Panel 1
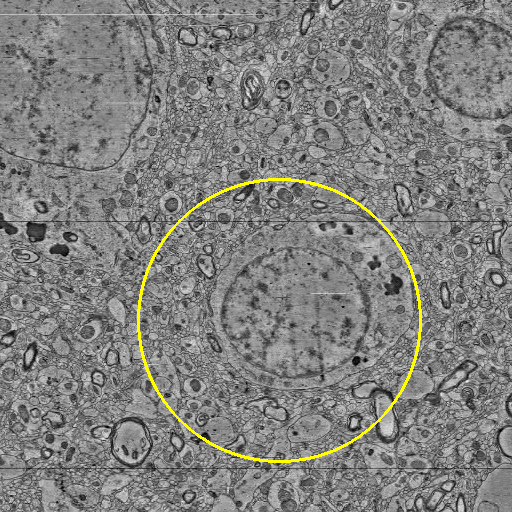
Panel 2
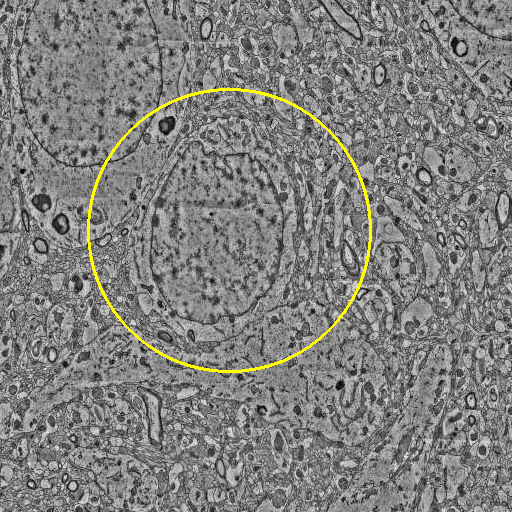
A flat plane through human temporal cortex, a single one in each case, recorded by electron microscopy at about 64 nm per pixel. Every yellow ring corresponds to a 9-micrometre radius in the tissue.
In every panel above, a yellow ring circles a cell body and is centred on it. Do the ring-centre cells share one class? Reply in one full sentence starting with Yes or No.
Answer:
Yes, the two cells at the ring centres in the panels belong to one class.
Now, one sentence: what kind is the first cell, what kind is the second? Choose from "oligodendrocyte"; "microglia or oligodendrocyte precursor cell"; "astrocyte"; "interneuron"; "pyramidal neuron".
The cell at the ring centre is an interneuron in both pictures.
